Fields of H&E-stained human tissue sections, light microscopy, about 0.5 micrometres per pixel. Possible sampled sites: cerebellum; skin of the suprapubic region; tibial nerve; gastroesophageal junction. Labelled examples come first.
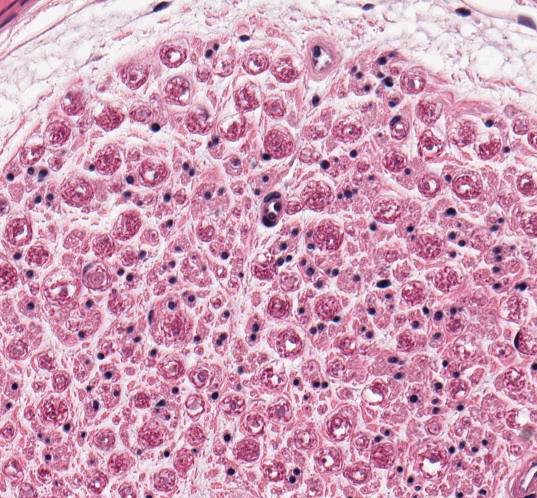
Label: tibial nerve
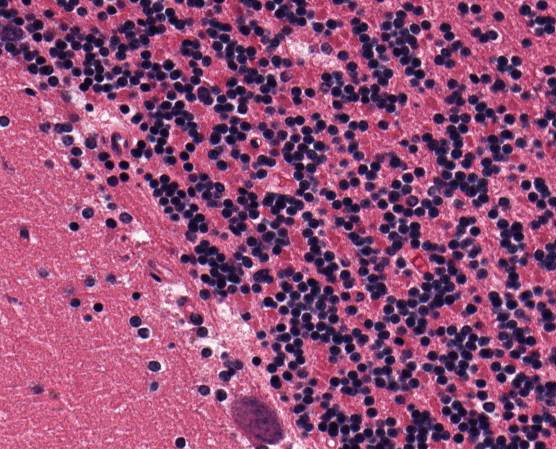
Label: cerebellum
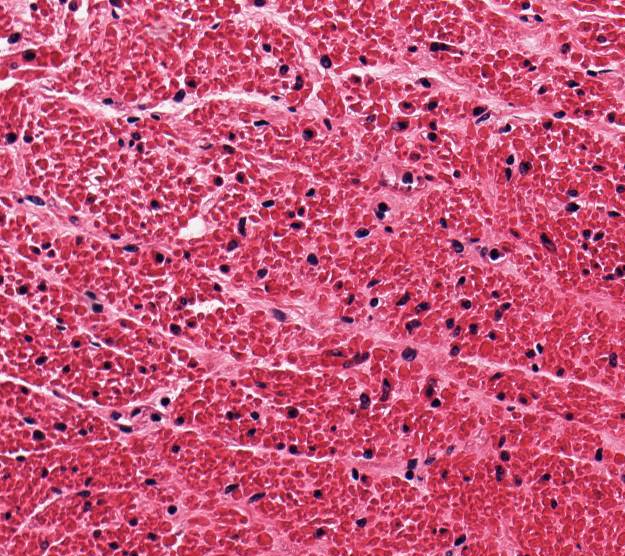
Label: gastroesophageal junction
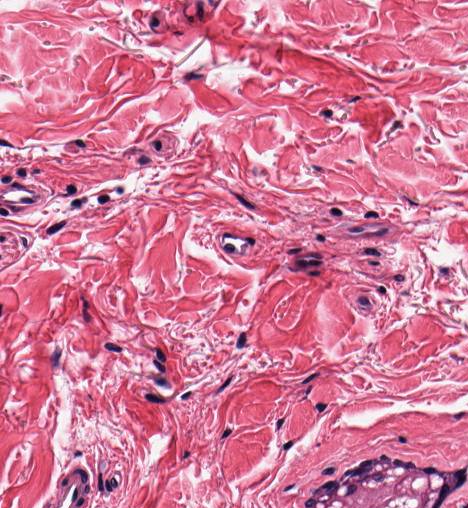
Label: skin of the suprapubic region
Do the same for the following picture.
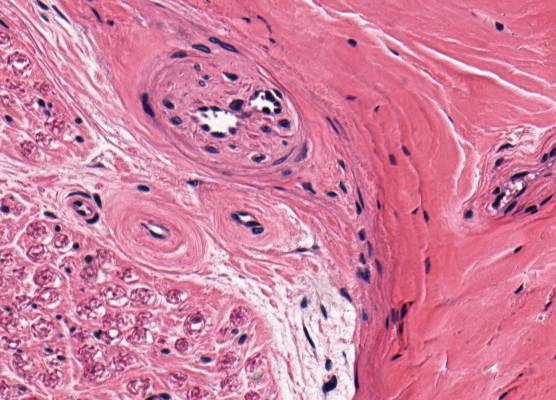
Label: tibial nerve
